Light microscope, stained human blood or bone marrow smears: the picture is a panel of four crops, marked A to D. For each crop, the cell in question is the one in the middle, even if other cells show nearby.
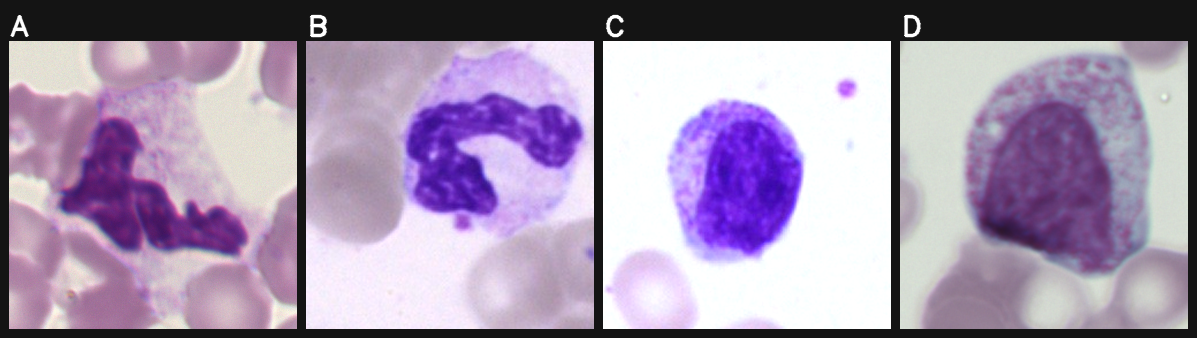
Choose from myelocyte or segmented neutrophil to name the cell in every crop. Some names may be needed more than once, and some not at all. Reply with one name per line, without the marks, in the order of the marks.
segmented neutrophil
segmented neutrophil
myelocyte
myelocyte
